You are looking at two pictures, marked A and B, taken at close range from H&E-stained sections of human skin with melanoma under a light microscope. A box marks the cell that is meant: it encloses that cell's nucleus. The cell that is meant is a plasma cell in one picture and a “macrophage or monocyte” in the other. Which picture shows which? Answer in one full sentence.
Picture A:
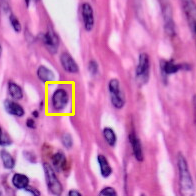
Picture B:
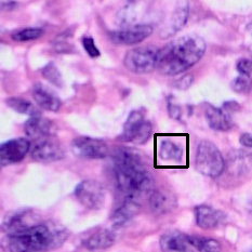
In picture A the cell is a plasma cell; in picture B, a “macrophage or monocyte”.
